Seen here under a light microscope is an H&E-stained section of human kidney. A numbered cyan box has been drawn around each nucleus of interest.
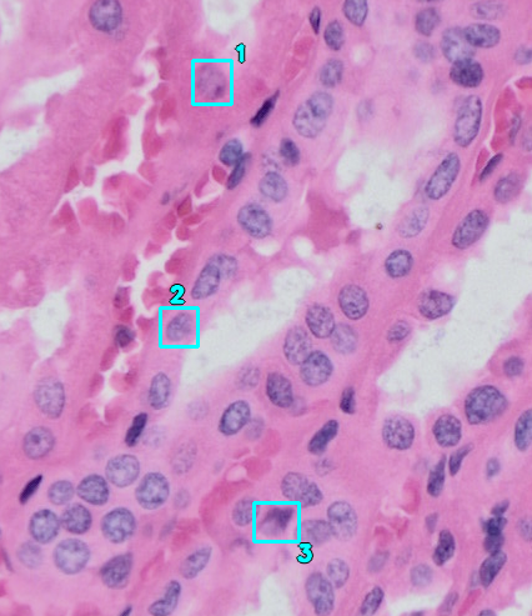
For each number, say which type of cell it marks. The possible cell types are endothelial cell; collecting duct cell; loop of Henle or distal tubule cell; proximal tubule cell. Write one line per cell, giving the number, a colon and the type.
1: proximal tubule cell
2: collecting duct cell
3: collecting duct cell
